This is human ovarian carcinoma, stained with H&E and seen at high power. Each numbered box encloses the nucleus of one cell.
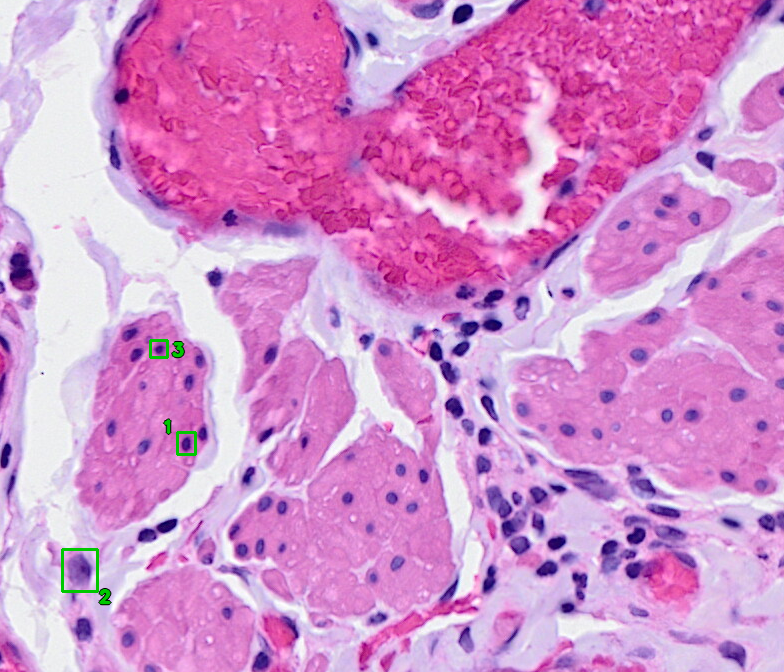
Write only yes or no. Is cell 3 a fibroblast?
no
